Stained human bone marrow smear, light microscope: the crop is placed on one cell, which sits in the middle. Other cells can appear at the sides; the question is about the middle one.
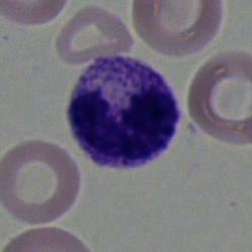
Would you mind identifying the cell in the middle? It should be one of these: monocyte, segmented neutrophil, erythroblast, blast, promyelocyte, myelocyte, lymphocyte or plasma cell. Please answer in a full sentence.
Looking at the middle of the crop, the cell there is a segmented neutrophil.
